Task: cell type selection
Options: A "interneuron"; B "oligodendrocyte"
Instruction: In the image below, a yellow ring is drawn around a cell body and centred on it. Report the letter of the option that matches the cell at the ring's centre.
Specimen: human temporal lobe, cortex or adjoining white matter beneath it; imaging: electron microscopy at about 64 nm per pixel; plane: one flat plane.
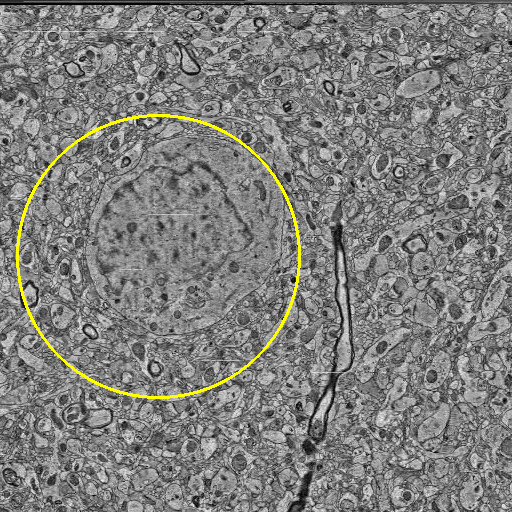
A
